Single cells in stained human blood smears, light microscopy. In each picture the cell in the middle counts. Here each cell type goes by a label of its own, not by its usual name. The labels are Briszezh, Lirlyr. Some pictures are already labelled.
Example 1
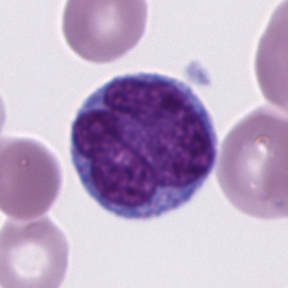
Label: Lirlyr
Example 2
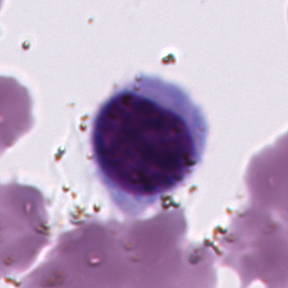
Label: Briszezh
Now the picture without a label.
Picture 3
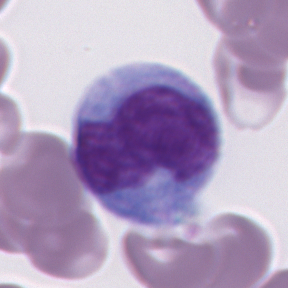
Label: Lirlyr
